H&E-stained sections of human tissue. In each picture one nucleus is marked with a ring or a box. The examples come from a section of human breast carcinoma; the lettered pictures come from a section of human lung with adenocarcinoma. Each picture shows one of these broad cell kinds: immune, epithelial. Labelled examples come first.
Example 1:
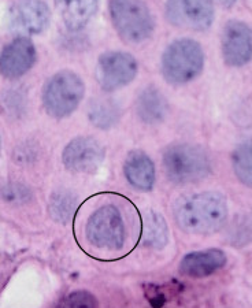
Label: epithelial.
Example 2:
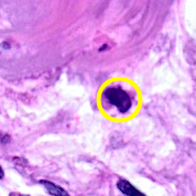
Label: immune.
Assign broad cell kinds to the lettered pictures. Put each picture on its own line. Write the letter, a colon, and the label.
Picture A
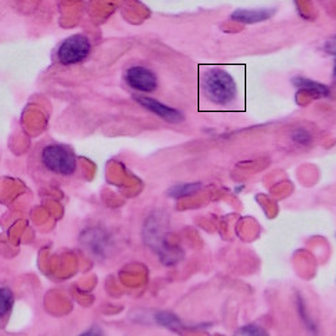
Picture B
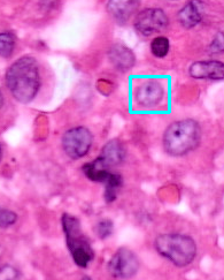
A: epithelial.
B: immune.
